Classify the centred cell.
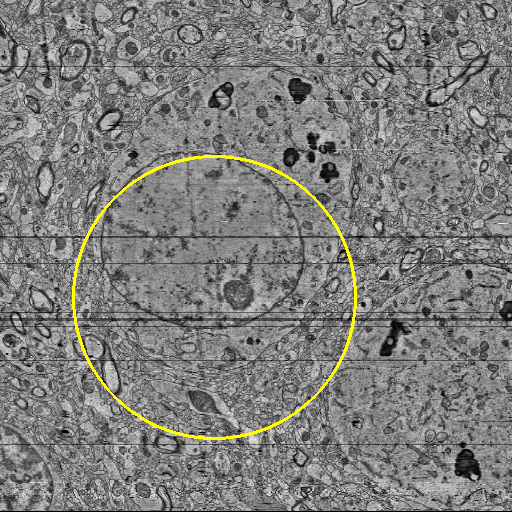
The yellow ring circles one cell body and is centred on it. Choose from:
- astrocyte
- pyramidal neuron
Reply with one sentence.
The ring is centred on a pyramidal neuron.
